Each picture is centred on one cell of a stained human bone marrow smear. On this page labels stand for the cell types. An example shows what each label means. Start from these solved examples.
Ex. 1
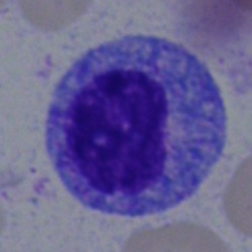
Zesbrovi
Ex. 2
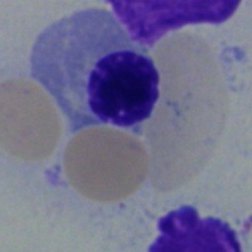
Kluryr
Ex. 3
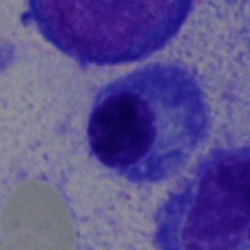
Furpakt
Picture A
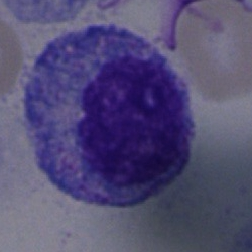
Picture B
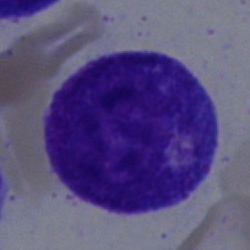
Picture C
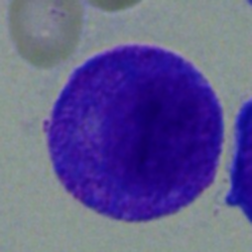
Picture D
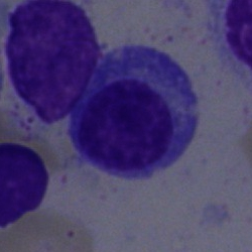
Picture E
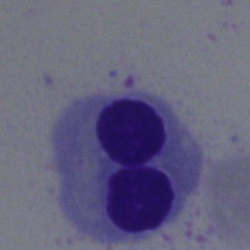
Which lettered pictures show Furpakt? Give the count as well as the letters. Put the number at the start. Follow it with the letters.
1, namely D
